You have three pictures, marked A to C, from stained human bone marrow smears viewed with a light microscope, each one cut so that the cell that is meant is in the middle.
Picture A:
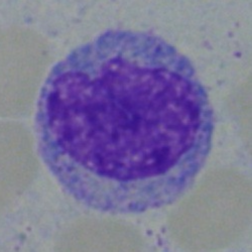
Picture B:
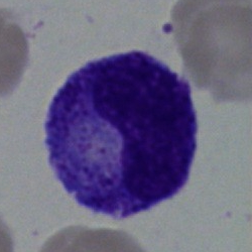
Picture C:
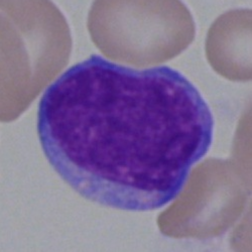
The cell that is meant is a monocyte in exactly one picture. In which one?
A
